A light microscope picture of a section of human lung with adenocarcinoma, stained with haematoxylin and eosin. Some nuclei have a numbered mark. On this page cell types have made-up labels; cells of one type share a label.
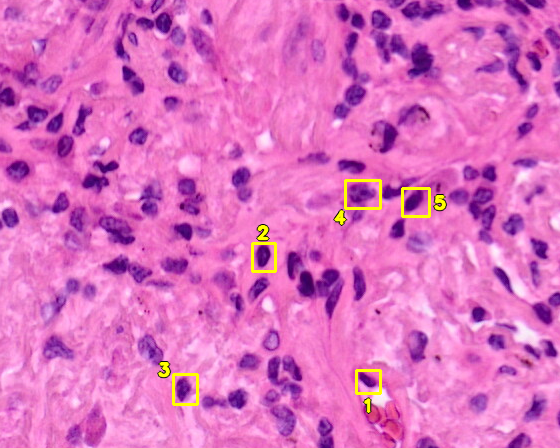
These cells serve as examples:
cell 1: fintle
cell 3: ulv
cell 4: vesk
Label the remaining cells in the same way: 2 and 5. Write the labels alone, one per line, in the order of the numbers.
vesk
vesk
